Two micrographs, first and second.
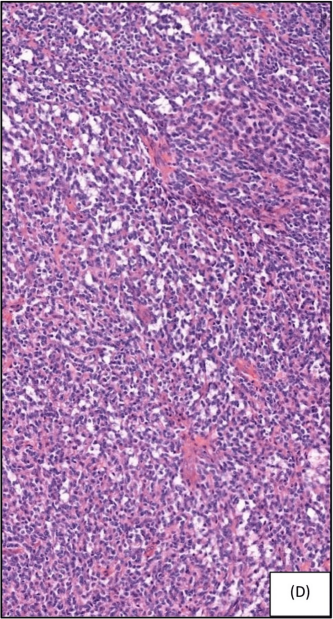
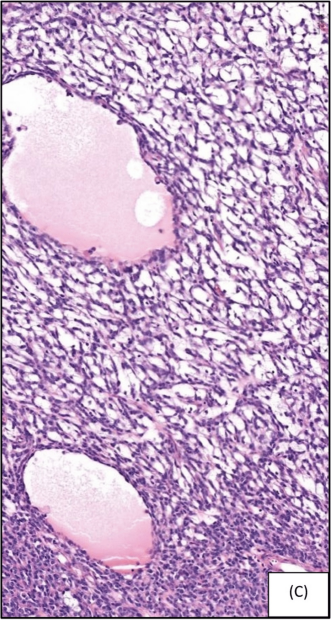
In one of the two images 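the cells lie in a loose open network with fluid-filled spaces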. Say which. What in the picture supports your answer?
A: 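First image: cells are densely crowded with little space between them. Second image: cells are widely spaced in a pale meshwork with two rounded pink-filled spaces.
Conclusion: the second image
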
